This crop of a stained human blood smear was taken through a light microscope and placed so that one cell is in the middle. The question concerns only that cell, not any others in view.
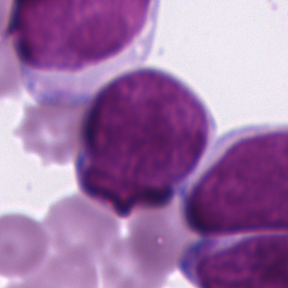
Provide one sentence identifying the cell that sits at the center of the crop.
The cell under consideration, at the middle of the crop, is a myeloblast.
